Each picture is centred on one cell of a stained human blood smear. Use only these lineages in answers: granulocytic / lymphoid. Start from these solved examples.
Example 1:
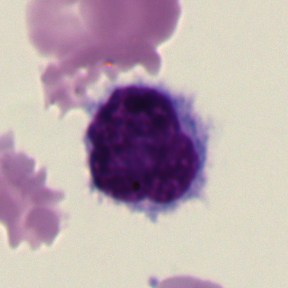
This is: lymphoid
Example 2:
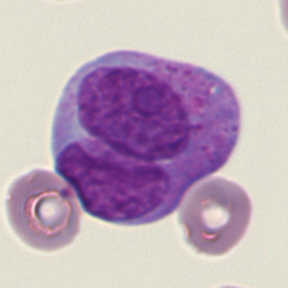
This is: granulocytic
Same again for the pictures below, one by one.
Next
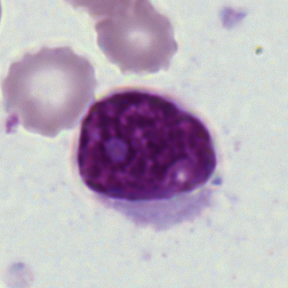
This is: lymphoid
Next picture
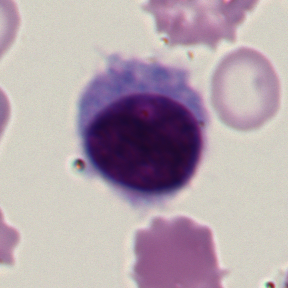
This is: lymphoid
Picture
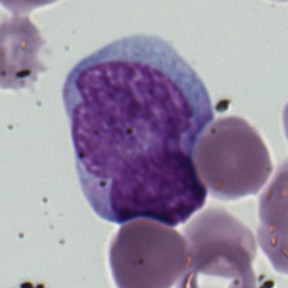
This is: granulocytic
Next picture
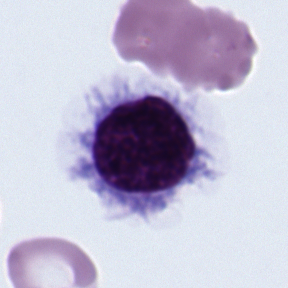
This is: lymphoid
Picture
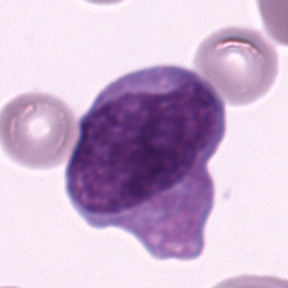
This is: granulocytic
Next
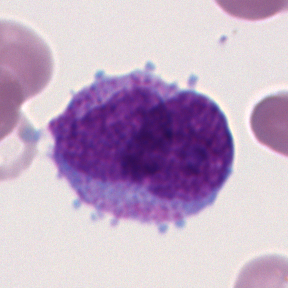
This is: granulocytic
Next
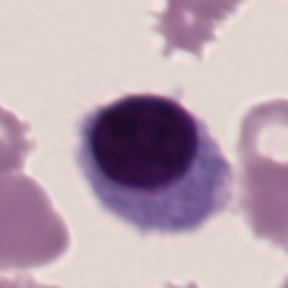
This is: lymphoid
